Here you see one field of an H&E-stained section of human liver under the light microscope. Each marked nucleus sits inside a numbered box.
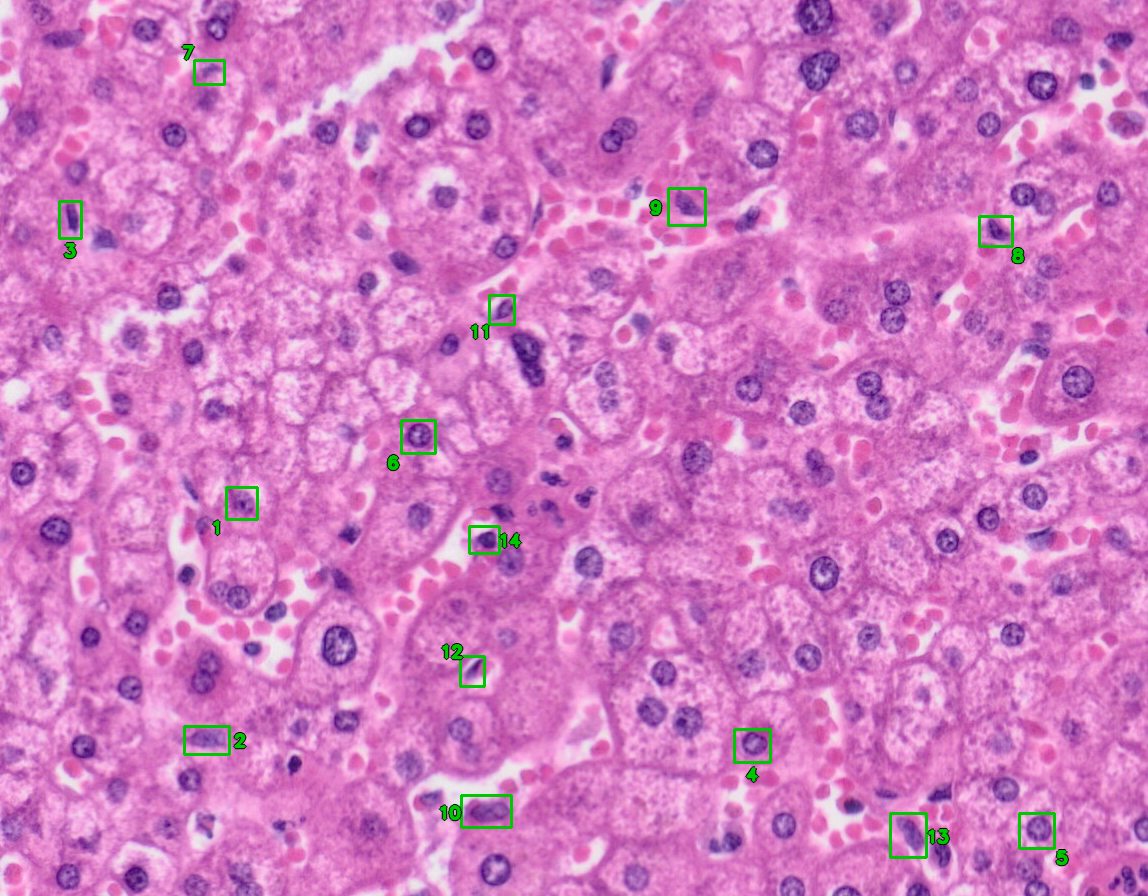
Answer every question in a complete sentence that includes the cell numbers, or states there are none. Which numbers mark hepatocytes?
The cells marked by the numbers 1, 4, 5 and 6 are hepatocytes.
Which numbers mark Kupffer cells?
By cell type, the cells numbered 2, 10, 11 and 13 are Kupffer cells.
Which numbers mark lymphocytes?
The nucleus labelled 14 alone belongs to a lymphocyte; the other marked nuclei do not.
